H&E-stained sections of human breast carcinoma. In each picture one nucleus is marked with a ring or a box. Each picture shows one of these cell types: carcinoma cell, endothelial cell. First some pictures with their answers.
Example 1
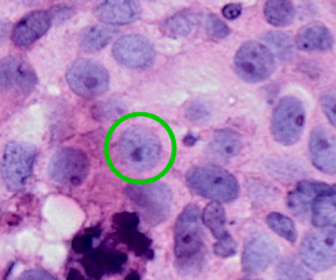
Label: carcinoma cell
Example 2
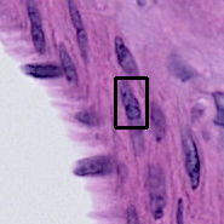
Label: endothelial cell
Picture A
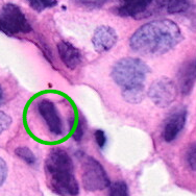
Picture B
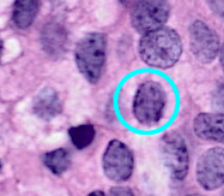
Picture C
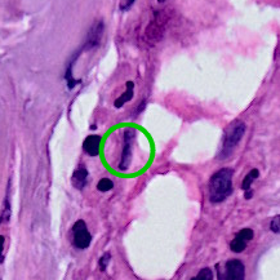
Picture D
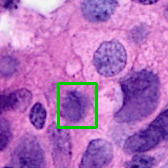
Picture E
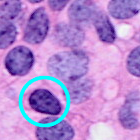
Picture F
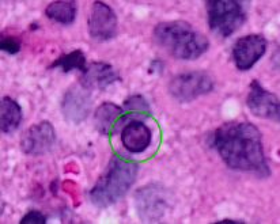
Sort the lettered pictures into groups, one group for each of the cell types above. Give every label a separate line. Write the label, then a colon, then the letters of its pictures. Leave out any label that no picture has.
carcinoma cell: A, B, D, E, F
endothelial cell: C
